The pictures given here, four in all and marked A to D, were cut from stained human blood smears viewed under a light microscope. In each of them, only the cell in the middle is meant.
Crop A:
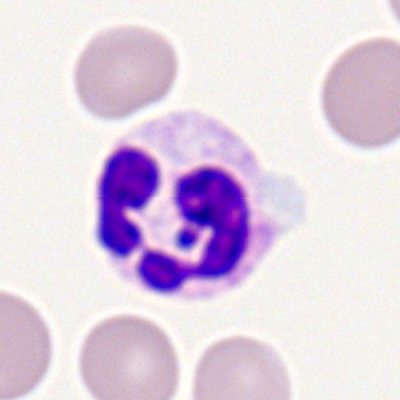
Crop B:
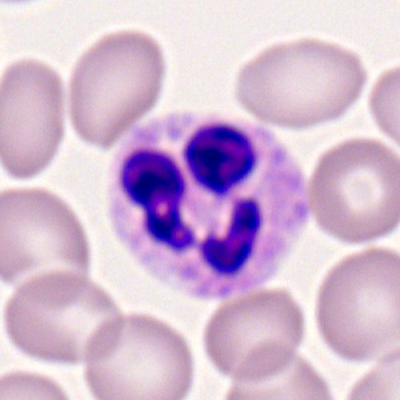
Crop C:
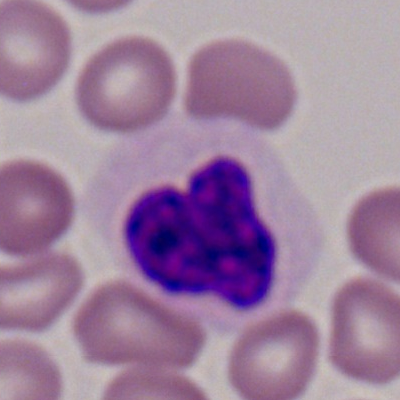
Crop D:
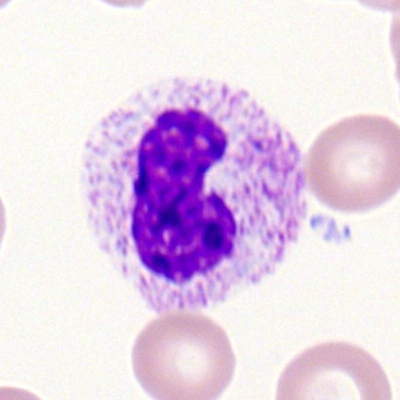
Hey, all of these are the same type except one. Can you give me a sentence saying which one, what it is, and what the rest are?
Crop D breaks the pattern with a band neutrophil; all the others show segmented neutrophils.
